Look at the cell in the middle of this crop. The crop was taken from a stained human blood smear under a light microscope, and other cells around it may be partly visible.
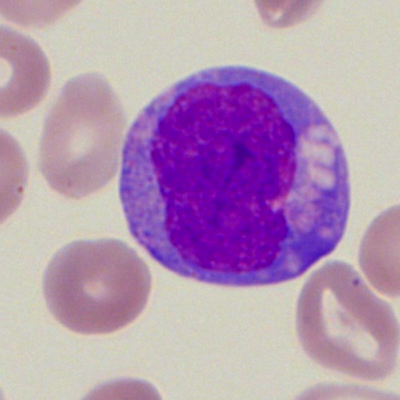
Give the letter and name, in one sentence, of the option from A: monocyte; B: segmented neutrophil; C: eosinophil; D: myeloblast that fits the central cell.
Option D is the correct one; it names the central cell as a myeloblast.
